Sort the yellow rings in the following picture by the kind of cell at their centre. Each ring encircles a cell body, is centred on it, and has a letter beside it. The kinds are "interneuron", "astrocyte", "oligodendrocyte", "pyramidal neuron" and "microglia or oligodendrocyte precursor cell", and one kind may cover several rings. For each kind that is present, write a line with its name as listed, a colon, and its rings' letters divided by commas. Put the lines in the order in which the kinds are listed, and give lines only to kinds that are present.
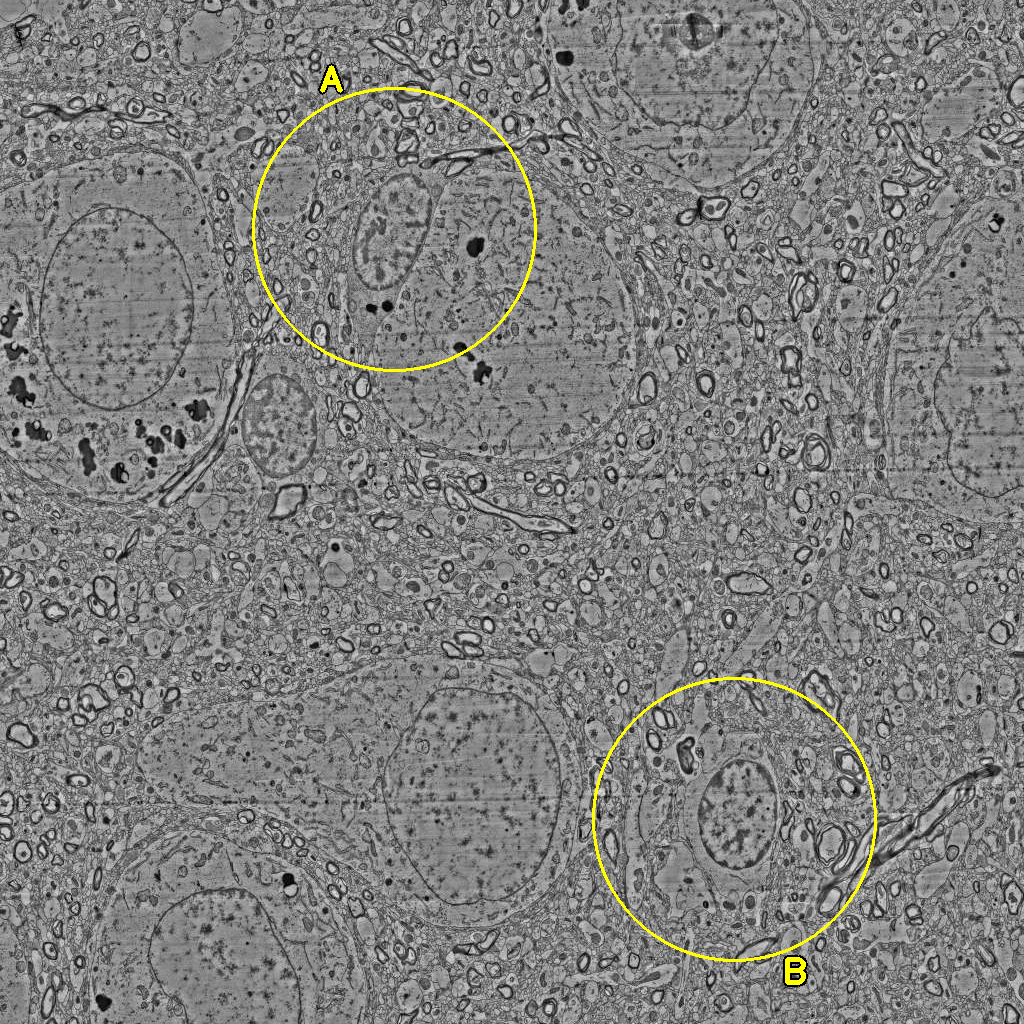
oligodendrocyte: A
microglia or oligodendrocyte precursor cell: B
